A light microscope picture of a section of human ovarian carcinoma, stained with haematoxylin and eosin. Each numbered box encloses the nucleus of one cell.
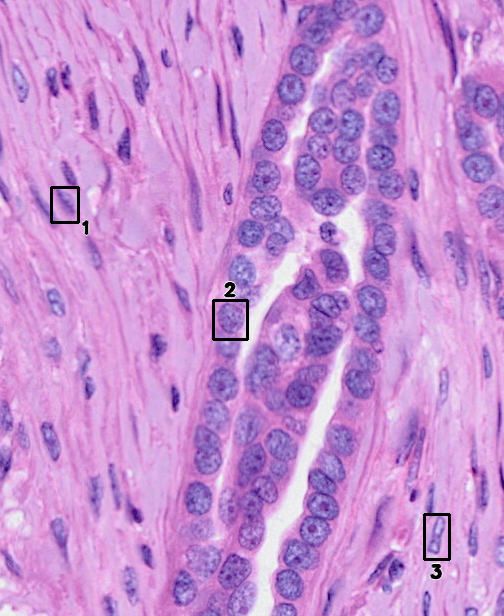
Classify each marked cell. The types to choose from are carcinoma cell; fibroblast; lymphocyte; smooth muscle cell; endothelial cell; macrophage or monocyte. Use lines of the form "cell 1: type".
cell 1: fibroblast
cell 2: carcinoma cell
cell 3: fibroblast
